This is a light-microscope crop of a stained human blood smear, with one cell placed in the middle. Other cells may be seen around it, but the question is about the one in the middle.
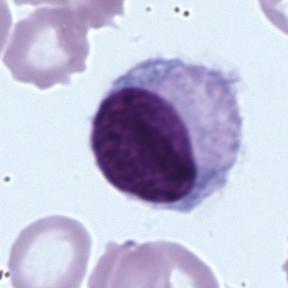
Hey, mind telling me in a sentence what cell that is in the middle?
On this slide crop, the central cell is a hairy cell.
